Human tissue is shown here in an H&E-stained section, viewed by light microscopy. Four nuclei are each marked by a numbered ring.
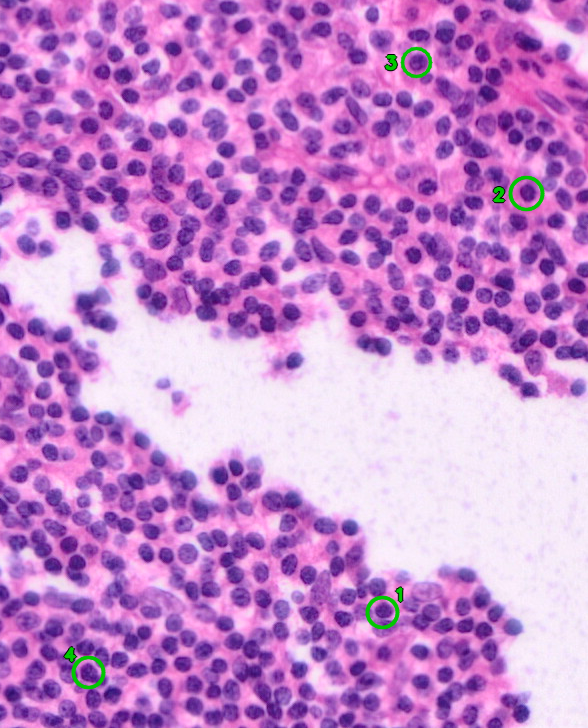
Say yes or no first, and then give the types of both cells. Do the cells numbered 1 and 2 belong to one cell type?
No, unlike cell 1, which is a small lymphocyte, cell 2 is a plasma cell.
